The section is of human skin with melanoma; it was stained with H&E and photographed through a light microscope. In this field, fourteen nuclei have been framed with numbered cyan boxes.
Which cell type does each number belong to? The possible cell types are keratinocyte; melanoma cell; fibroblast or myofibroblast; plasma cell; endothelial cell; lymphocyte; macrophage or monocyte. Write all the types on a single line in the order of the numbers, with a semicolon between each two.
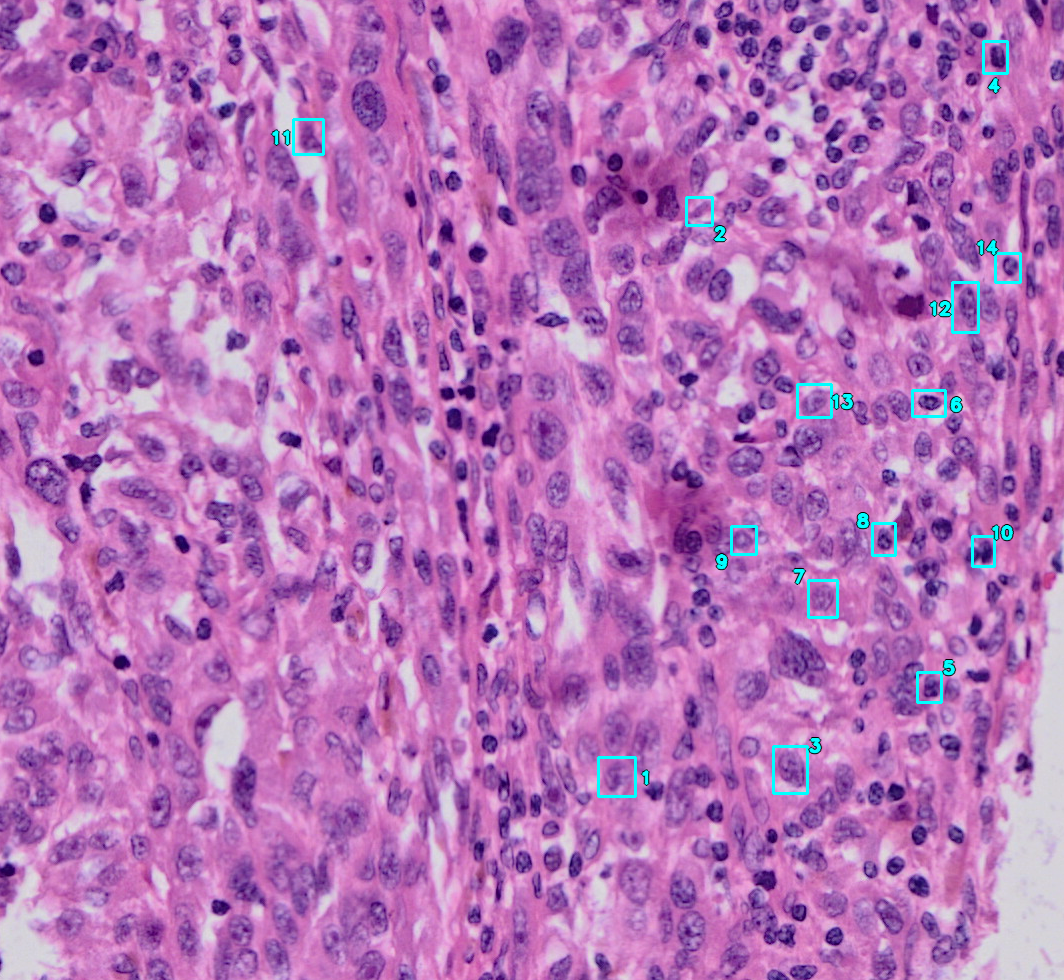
melanoma cell; melanoma cell; melanoma cell; lymphocyte; lymphocyte; lymphocyte; melanoma cell; lymphocyte; melanoma cell; lymphocyte; melanoma cell; melanoma cell; melanoma cell; lymphocyte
